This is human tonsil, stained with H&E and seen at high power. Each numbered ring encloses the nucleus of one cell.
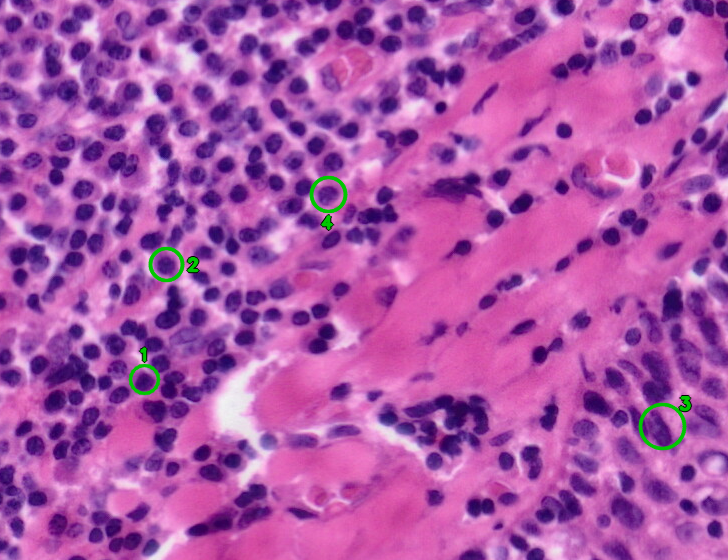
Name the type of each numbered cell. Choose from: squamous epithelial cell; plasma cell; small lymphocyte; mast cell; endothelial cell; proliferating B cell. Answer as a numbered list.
1. plasma cell
2. plasma cell
3. squamous epithelial cell
4. plasma cell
